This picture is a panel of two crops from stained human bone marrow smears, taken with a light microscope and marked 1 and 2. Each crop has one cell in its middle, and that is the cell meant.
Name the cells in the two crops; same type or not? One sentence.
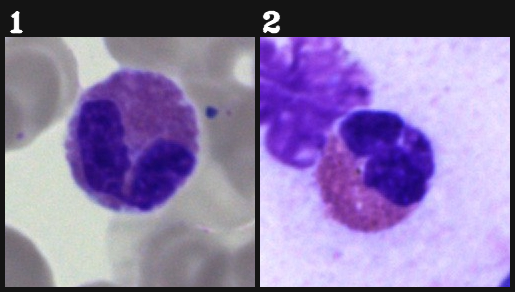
Yes, in the two crops, eosinophils are the cells at the centre.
